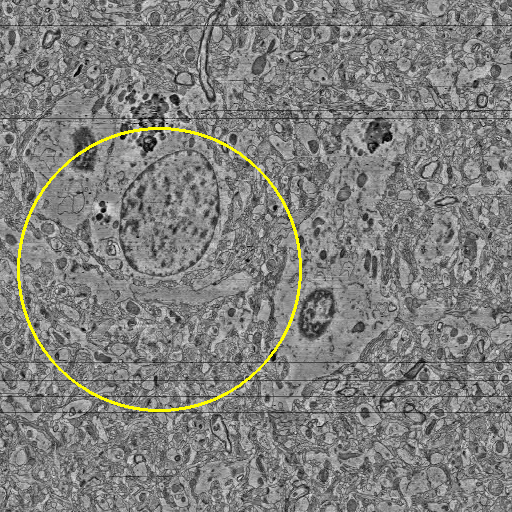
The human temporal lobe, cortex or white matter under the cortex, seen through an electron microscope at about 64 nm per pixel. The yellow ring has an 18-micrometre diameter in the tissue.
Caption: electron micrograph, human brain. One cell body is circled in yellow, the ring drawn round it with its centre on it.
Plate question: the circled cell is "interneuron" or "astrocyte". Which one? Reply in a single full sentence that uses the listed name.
The yellow ring on the plate is centred on an astrocyte, going by the listed names.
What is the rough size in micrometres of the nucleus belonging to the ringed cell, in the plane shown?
The nucleus works out at approximately 9 by 6 micrometres in this plane.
